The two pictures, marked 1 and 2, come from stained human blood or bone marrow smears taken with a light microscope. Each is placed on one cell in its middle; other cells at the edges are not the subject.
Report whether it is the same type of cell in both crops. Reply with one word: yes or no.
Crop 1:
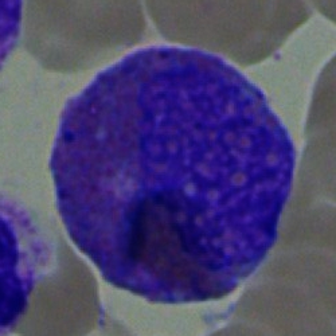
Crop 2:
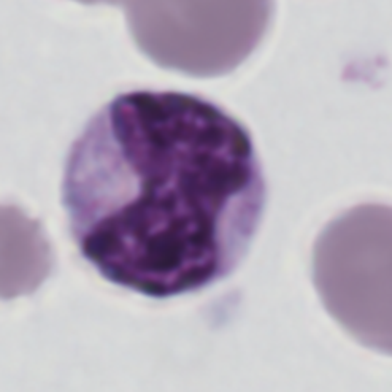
no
